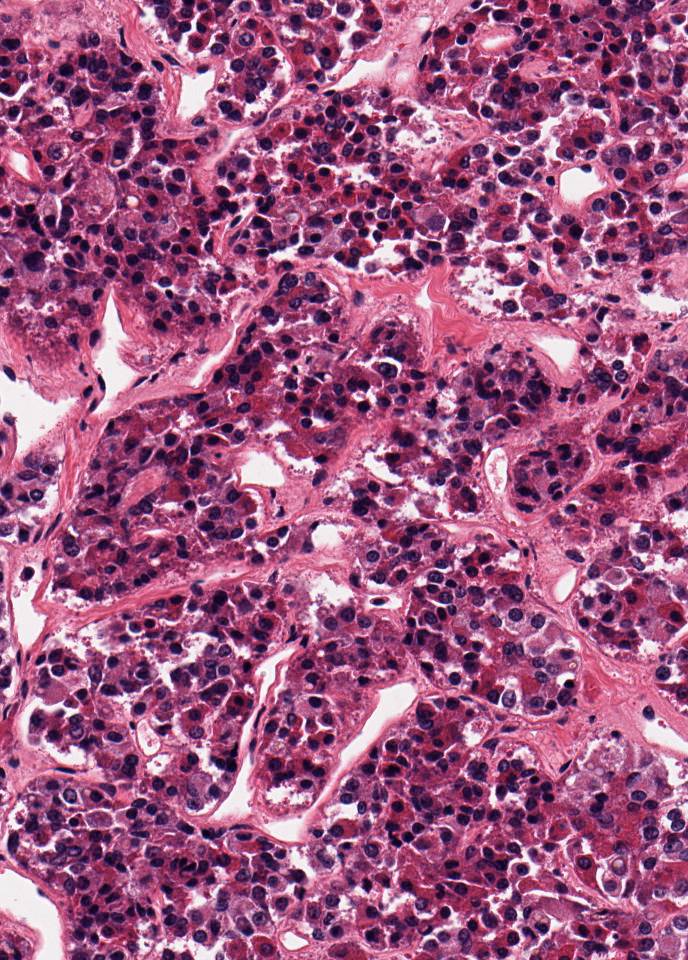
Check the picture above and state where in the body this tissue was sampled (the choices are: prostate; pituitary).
pituitary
